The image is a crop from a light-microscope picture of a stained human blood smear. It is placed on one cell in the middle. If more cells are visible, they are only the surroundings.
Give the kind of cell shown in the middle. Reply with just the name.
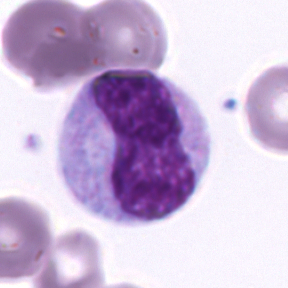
metamyelocyte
